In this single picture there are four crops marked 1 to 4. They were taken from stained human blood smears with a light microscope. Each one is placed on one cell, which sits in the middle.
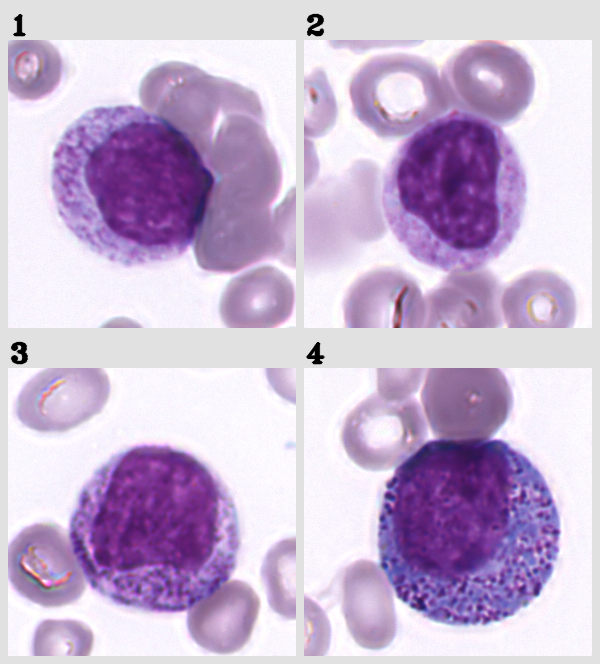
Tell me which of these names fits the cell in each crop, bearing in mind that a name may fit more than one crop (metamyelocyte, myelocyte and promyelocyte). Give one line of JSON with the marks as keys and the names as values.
{"1": "myelocyte", "2": "metamyelocyte", "3": "myelocyte", "4": "promyelocyte"}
